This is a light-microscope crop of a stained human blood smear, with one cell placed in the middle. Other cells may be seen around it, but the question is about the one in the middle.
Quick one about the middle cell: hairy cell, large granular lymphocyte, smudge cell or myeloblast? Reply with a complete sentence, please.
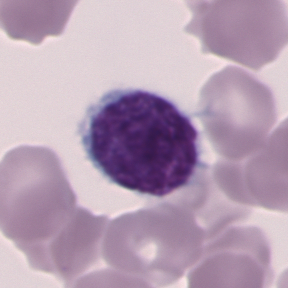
For this crop, the cell in the middle is a hairy cell.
